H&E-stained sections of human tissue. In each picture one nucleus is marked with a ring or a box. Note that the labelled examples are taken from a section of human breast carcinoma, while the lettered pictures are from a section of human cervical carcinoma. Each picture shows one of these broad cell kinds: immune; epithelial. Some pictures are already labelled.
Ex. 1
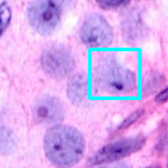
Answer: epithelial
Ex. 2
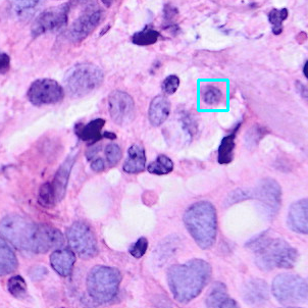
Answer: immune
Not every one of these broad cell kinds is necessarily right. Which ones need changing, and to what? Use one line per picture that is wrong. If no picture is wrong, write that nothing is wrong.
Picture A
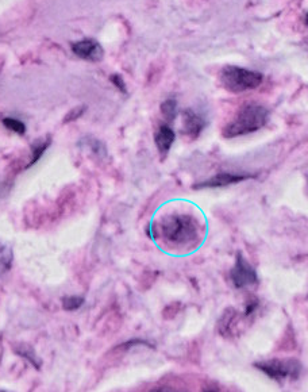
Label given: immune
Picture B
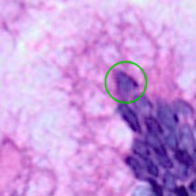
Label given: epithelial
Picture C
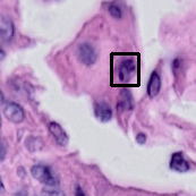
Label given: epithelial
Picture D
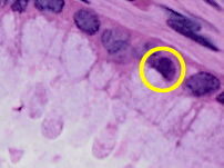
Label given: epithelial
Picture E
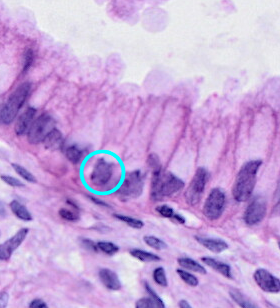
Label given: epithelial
No label is wrong.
